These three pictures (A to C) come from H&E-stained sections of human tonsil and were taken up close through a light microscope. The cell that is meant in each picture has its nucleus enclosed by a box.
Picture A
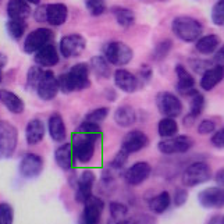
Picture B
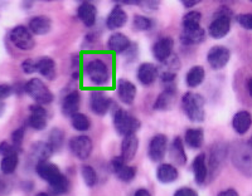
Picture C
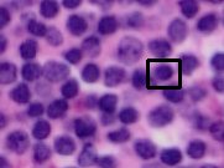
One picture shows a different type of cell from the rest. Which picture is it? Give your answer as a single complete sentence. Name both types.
The different one is picture B; it shows a plasma cell, whereas all the others show small lymphocytes.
